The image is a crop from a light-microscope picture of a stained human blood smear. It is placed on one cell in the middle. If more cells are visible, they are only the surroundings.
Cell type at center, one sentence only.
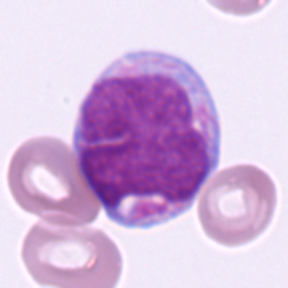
For this crop, the cell in the middle is an atypical promyelocyte.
